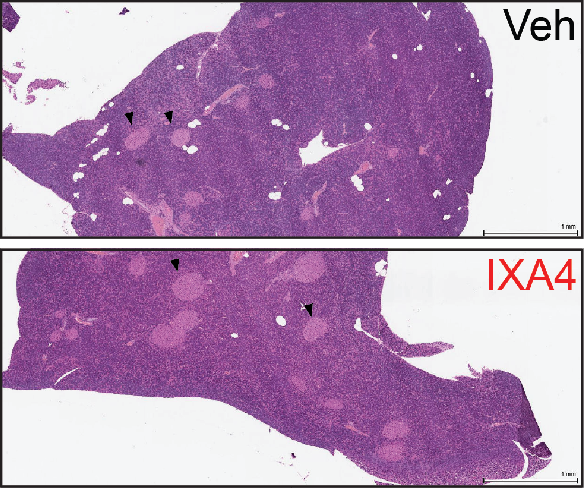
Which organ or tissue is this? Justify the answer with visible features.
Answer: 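Pancreas. Densely packed dark purple glandular tissue fills most of each section. Scattered rounded pale pink cell clusters lie within it.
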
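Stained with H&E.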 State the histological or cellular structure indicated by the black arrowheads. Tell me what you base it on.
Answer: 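The arrowheads point to small rounded pale pink areas. These pale areas stand out against the surrounding dark purple tissue. Similar pale rounded patches are scattered through both sections. The answer: individual islets.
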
